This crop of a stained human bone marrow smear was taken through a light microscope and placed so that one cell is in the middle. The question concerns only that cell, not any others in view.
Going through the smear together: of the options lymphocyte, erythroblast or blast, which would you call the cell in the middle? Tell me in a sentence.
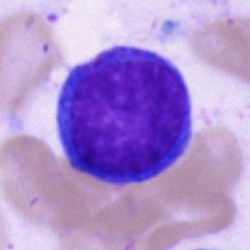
Among the cells in view, the one in the middle is a blast.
